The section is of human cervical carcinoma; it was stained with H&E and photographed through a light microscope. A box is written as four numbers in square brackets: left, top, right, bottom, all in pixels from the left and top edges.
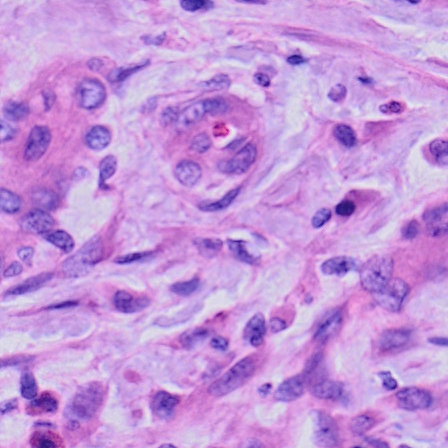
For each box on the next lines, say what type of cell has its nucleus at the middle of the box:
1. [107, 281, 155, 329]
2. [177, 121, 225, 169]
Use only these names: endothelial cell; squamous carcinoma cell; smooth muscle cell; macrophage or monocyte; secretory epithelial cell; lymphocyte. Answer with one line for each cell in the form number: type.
1: macrophage or monocyte
2: endothelial cell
